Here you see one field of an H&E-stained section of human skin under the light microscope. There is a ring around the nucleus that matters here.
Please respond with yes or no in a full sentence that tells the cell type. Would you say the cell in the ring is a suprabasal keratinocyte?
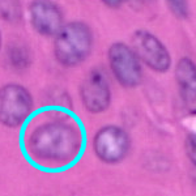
Yes, that the cell in the ring is a suprabasal keratinocyte is correct.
